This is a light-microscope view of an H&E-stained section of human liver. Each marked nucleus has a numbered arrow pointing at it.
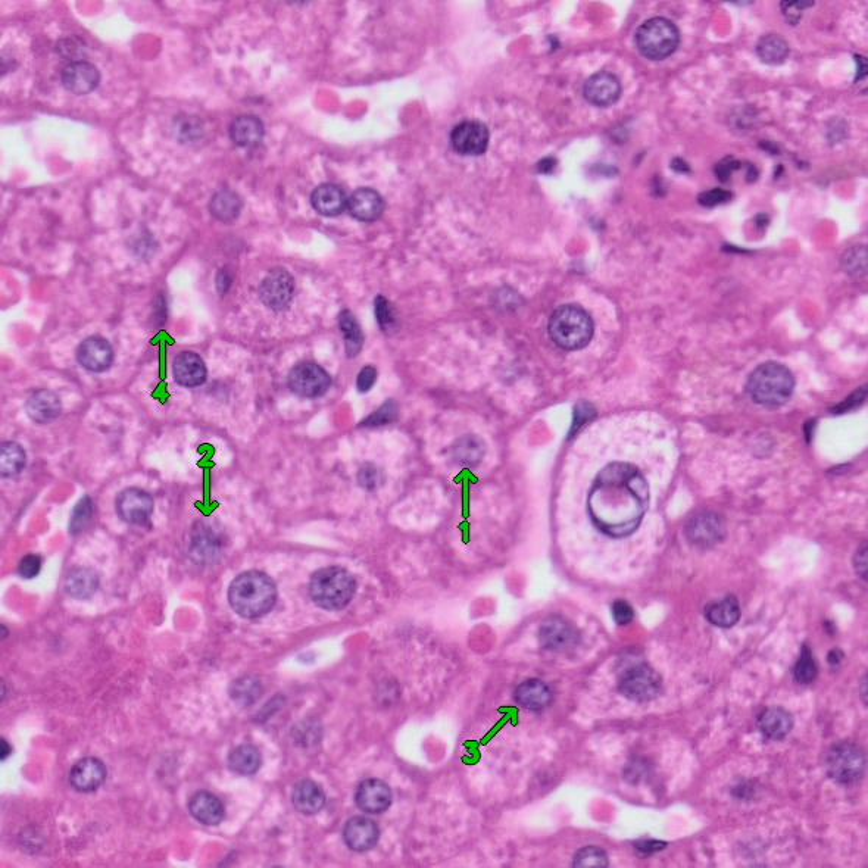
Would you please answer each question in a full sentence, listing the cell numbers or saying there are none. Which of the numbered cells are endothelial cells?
The nucleus numbered 4 is the only one that belongs to an endothelial cell.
